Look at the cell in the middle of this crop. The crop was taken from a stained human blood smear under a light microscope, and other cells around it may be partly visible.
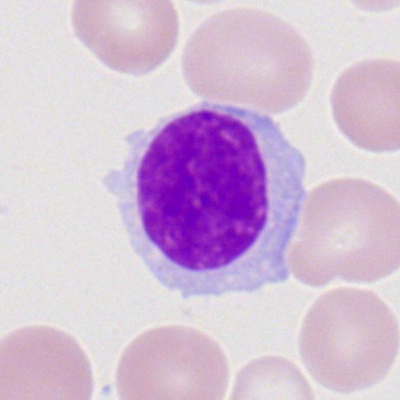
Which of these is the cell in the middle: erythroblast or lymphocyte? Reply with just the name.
lymphocyte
